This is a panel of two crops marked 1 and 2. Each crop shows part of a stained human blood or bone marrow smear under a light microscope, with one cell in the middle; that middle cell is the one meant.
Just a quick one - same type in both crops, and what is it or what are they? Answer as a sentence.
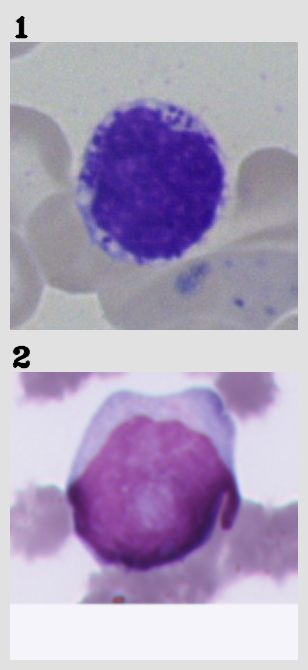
No, crop 1 offers a myelocyte, while crop 2 offers a blast.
